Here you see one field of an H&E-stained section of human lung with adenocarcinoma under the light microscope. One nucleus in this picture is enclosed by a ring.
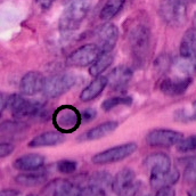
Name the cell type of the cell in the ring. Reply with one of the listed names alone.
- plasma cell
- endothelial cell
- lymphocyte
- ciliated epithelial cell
ciliated epithelial cell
